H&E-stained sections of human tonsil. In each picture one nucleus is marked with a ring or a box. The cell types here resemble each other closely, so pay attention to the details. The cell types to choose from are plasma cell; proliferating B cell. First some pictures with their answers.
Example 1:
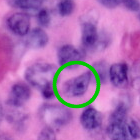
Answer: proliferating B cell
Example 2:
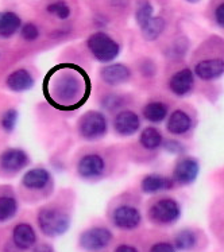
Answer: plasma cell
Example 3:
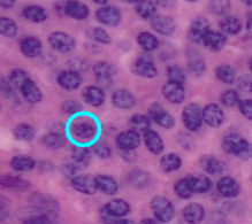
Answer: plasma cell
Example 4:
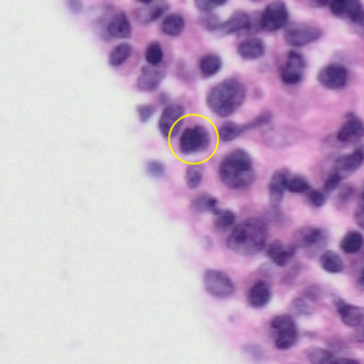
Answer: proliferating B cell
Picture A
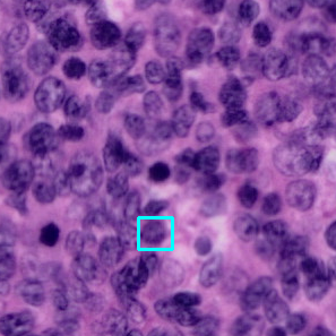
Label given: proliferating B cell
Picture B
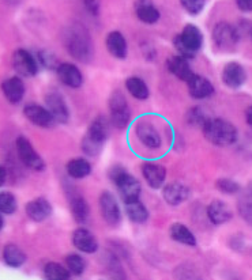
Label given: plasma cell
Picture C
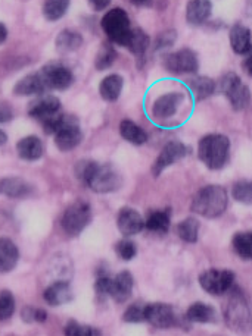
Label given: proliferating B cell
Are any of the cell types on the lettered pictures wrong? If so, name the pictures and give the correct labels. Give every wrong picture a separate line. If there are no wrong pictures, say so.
Every label is right.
